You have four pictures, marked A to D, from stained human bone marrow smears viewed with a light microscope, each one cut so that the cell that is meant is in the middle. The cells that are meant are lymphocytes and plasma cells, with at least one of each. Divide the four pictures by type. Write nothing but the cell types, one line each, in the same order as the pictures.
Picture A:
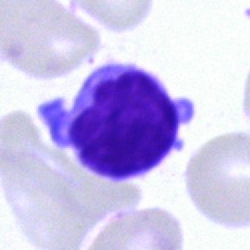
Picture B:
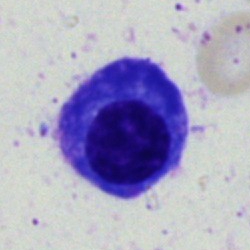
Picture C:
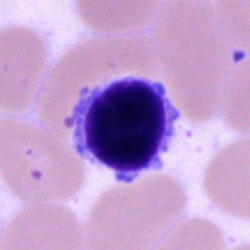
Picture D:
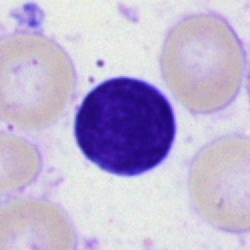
lymphocyte
plasma cell
lymphocyte
lymphocyte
